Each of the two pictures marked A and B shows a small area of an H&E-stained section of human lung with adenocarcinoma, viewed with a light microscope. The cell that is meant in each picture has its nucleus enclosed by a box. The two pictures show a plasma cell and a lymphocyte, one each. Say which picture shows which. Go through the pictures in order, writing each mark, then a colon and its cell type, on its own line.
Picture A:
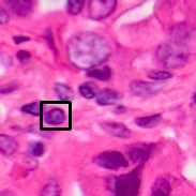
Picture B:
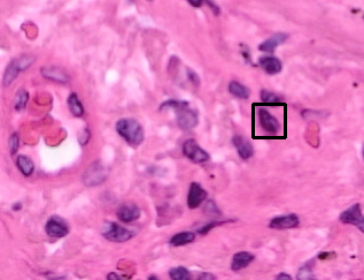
A: lymphocyte
B: plasma cell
